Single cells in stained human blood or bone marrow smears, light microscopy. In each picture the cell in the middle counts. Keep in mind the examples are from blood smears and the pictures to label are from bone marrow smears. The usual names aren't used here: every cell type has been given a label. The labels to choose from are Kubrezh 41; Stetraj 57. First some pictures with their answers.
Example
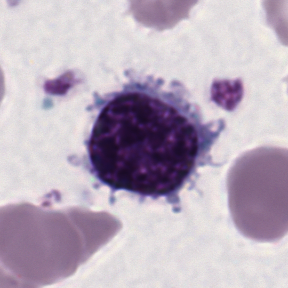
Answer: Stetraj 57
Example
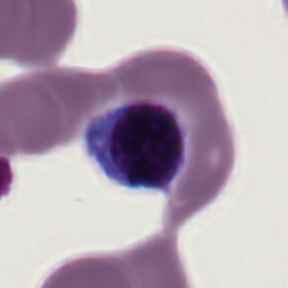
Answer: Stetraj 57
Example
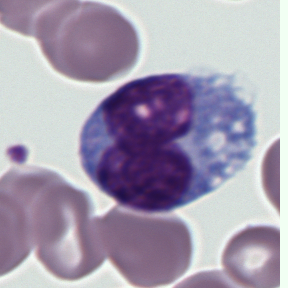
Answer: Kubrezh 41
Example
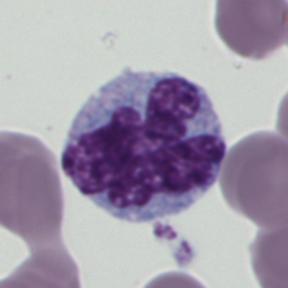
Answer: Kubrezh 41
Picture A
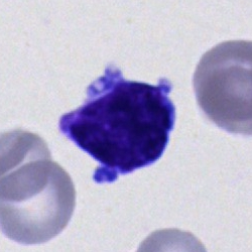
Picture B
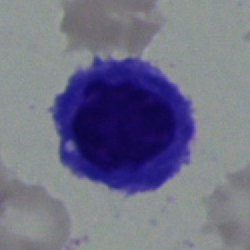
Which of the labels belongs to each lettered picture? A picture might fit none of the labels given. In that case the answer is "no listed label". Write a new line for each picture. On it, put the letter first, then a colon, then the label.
A: no listed label
B: Stetraj 57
